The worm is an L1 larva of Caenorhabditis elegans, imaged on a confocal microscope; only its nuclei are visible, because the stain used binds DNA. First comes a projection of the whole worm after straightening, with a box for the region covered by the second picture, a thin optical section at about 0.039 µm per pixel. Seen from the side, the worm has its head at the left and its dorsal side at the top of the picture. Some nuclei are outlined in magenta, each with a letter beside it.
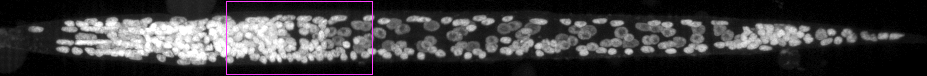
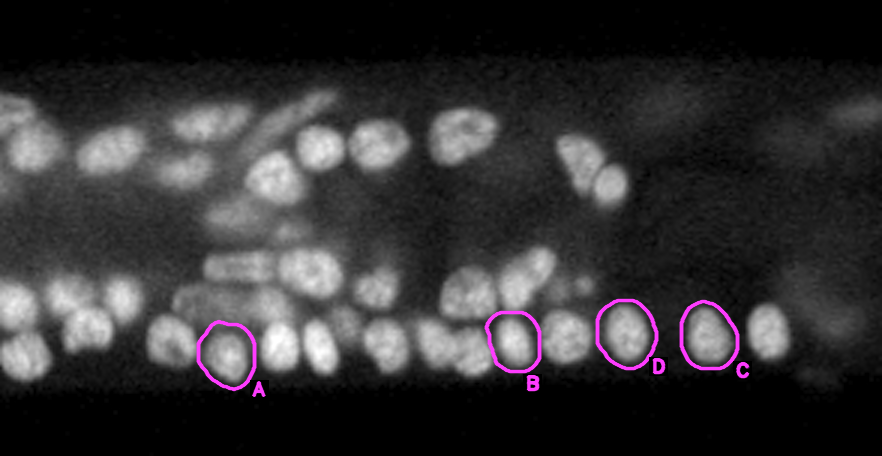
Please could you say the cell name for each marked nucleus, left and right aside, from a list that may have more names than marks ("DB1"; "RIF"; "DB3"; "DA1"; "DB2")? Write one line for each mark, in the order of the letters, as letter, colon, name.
A: DB2
B: DB1
C: DB3
D: DA1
